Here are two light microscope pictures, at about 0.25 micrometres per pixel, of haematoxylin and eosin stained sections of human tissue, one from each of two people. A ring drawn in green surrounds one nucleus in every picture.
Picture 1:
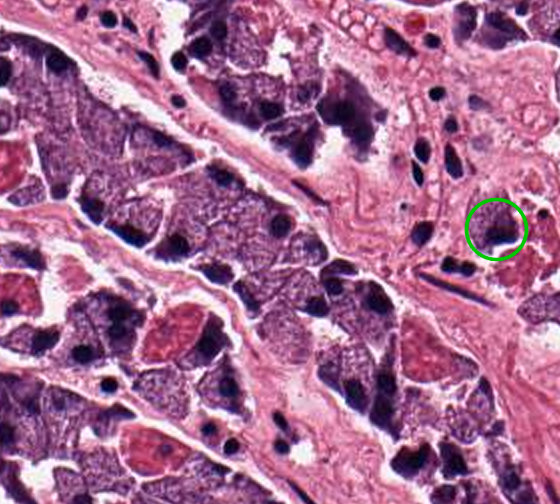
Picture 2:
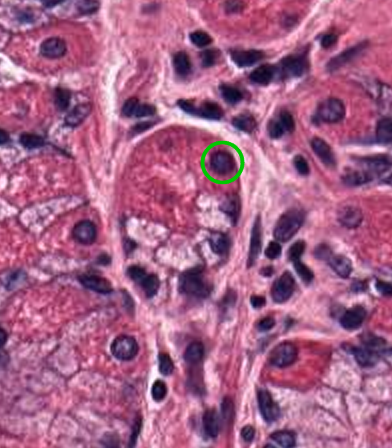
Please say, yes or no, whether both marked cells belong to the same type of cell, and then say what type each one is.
No, the first is a chief cell and the second a parietal cell.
